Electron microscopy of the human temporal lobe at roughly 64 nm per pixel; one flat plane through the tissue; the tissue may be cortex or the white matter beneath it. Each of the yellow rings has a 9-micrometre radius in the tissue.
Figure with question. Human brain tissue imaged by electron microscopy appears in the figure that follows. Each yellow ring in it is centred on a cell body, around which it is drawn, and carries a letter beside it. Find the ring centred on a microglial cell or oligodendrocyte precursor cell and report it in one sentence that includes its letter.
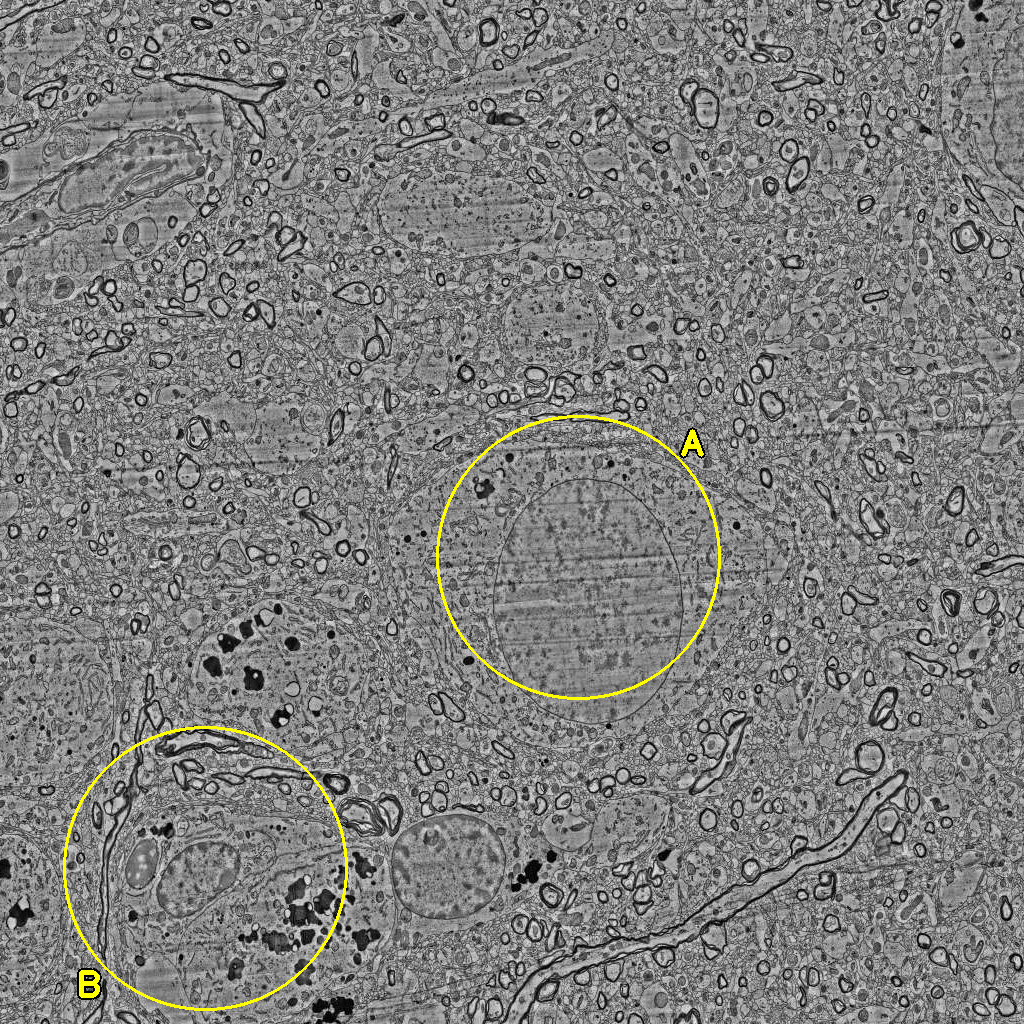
Ring B is the one centred on it.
